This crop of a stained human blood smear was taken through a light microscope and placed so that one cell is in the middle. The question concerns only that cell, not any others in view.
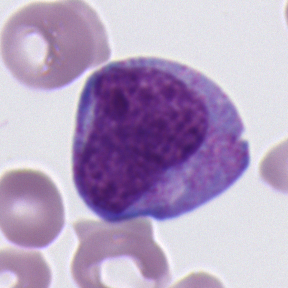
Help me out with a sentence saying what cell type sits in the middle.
Of the cells in this crop, the central one is an atypical promyelocyte.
